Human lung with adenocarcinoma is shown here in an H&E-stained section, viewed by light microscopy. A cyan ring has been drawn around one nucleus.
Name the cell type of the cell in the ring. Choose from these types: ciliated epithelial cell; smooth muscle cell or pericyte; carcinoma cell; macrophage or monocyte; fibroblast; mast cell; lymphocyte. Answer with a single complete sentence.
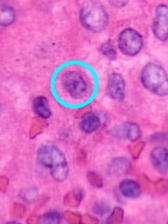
This is a macrophage or monocyte.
